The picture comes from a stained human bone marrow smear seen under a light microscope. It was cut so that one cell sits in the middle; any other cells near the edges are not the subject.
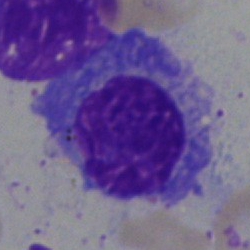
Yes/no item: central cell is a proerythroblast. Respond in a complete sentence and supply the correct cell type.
No, it is not a proerythroblast that lies in the middle but a plasma cell.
